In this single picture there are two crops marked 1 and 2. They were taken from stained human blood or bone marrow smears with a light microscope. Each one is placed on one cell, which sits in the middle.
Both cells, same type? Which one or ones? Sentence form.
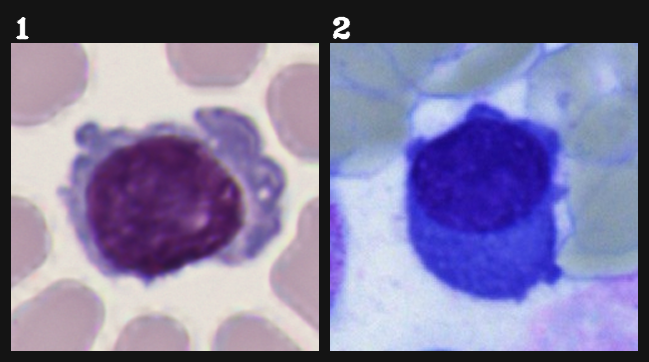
Yes, plasma cells are the cells shown in both crops.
